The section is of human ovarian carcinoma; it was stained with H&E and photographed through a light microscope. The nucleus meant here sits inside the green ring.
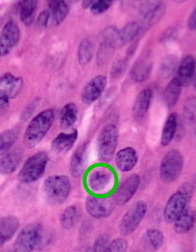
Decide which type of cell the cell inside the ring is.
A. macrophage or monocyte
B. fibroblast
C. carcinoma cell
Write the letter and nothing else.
A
